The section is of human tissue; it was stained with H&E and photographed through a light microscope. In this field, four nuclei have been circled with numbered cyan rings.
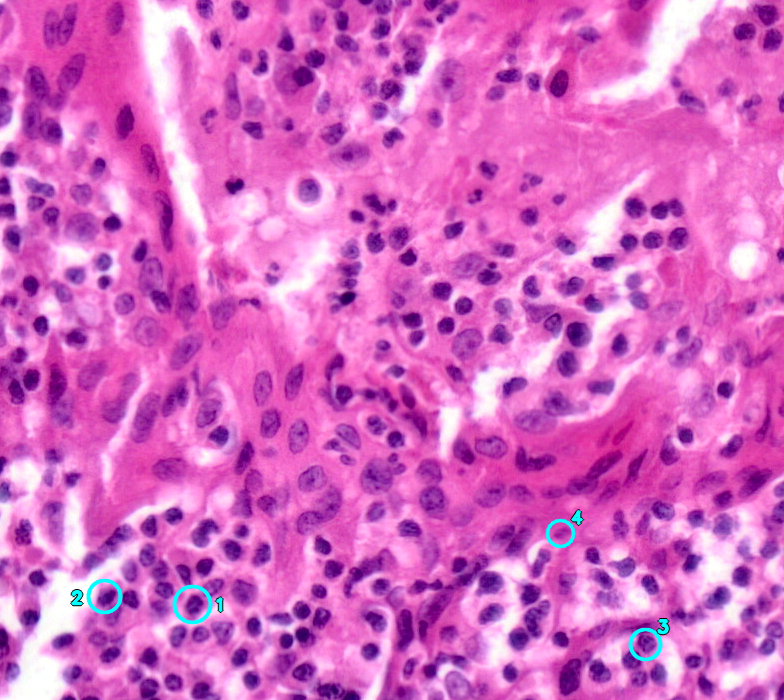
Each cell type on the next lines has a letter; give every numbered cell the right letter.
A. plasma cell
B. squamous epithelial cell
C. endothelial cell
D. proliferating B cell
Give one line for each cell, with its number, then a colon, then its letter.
1: A
2: A
3: A
4: B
